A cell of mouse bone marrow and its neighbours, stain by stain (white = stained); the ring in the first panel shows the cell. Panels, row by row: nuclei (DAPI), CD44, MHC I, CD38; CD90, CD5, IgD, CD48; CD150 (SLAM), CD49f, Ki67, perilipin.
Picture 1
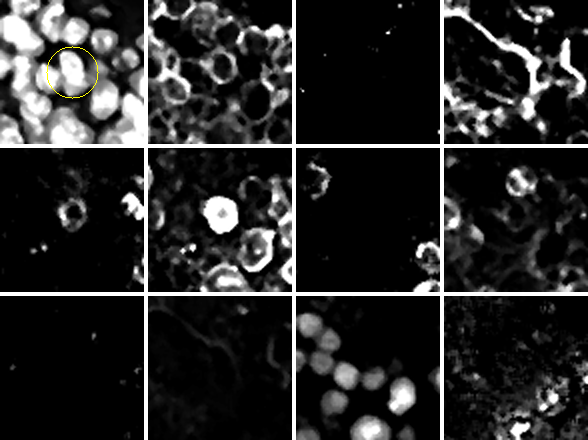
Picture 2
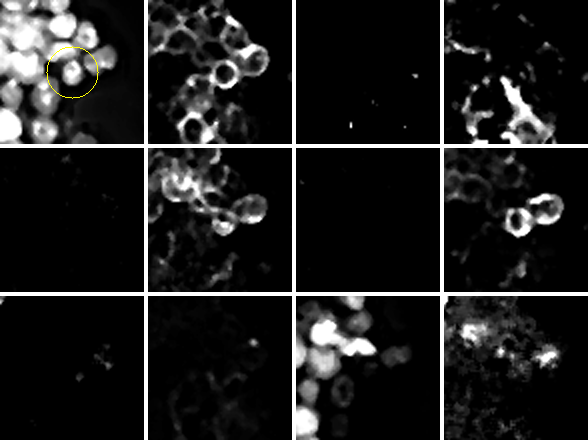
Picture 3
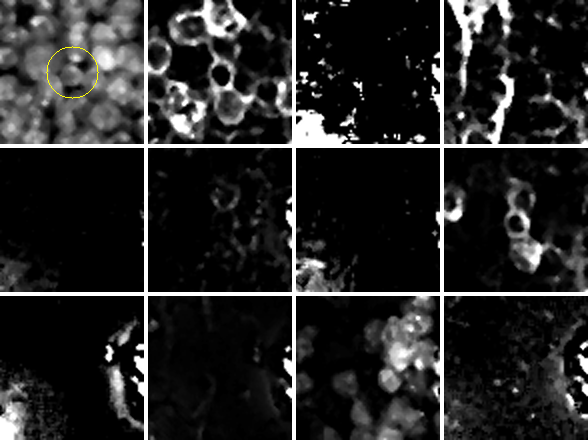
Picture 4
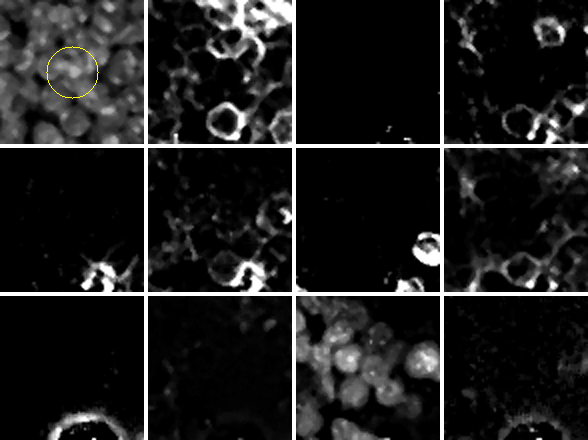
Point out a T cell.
That is picture 1.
